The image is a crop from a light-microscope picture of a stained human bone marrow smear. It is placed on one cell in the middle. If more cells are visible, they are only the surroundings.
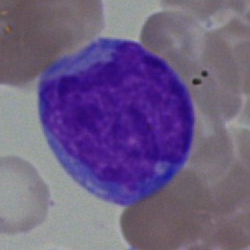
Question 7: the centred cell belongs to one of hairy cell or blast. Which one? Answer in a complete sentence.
In the central position of this crop, the cell is a blast.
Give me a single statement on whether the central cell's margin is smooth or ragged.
Edge check done: smooth outline, no projections present.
